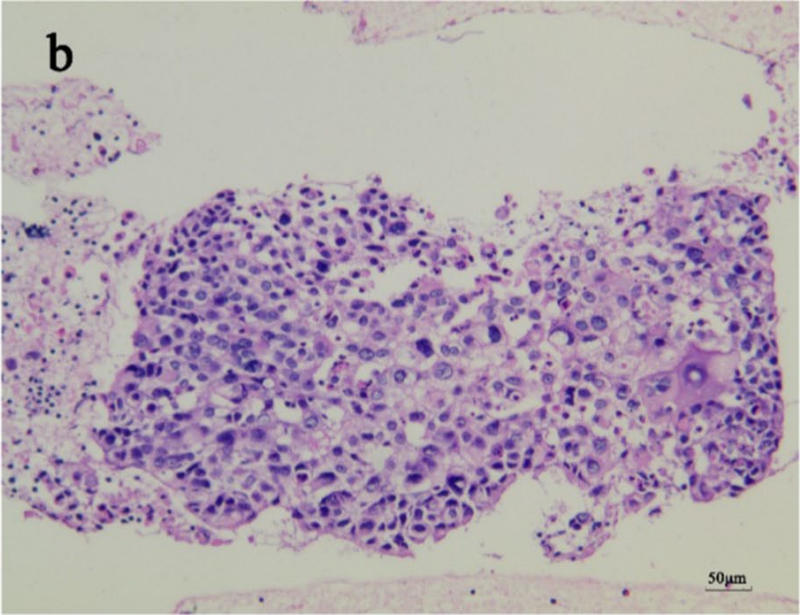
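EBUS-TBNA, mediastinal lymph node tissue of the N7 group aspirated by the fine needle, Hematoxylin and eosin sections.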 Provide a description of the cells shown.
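The cells have pink cytoplasm and pleomorphic nuclei, some greatly enlarged and dark. Scattered small dark cells lie at the edges of the cluster.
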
